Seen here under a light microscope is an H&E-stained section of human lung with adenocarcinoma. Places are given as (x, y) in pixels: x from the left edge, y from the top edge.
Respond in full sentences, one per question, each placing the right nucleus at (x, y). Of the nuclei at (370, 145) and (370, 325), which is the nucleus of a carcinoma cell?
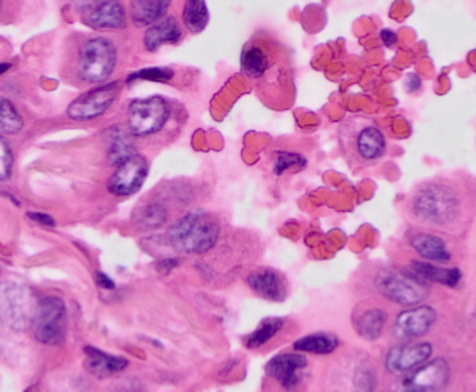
The nucleus whose position is (370, 325) belongs to a carcinoma cell.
